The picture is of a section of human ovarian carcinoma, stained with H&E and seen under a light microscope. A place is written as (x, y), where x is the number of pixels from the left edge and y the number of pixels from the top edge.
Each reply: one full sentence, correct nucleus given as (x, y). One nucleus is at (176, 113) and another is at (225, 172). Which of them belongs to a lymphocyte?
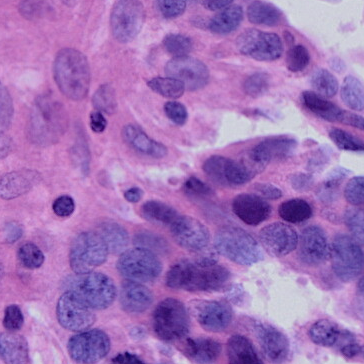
Which one belongs to a lymphocyte? The nucleus at (176, 113) does.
